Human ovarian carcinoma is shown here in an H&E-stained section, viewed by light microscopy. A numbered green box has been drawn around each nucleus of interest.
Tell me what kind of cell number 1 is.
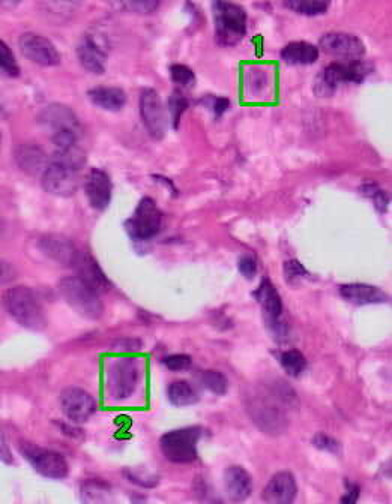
macrophage or monocyte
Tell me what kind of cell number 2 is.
carcinoma cell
